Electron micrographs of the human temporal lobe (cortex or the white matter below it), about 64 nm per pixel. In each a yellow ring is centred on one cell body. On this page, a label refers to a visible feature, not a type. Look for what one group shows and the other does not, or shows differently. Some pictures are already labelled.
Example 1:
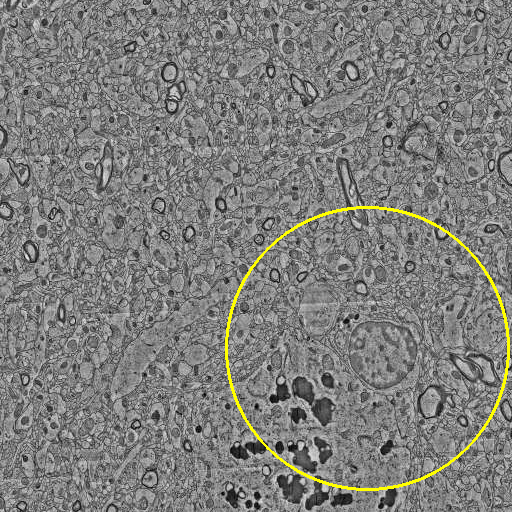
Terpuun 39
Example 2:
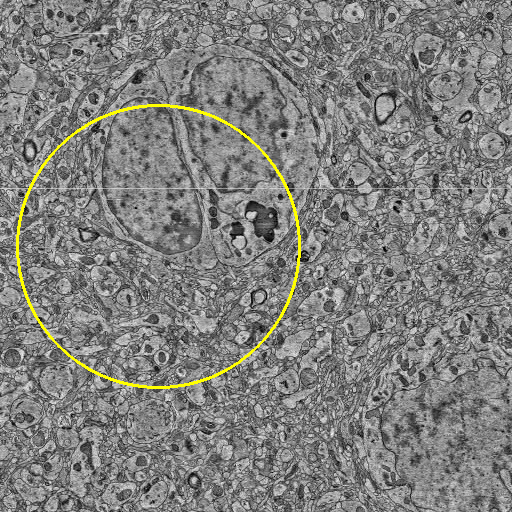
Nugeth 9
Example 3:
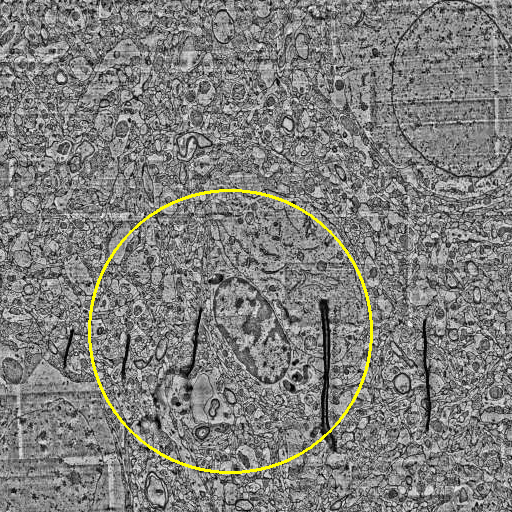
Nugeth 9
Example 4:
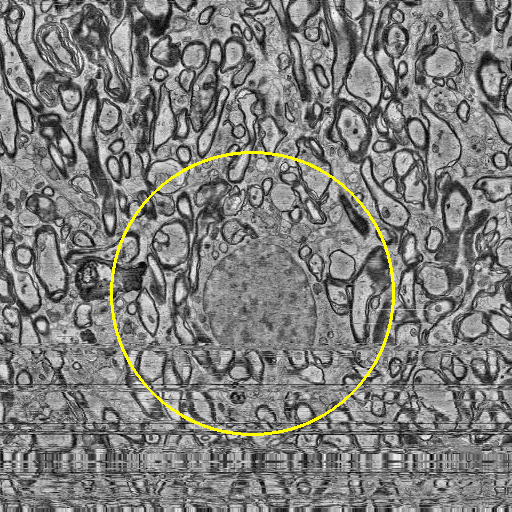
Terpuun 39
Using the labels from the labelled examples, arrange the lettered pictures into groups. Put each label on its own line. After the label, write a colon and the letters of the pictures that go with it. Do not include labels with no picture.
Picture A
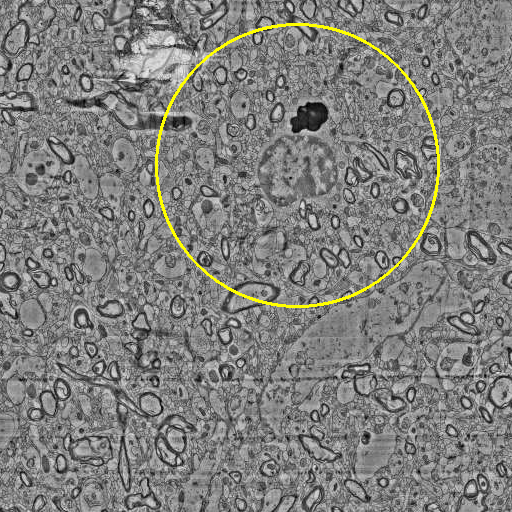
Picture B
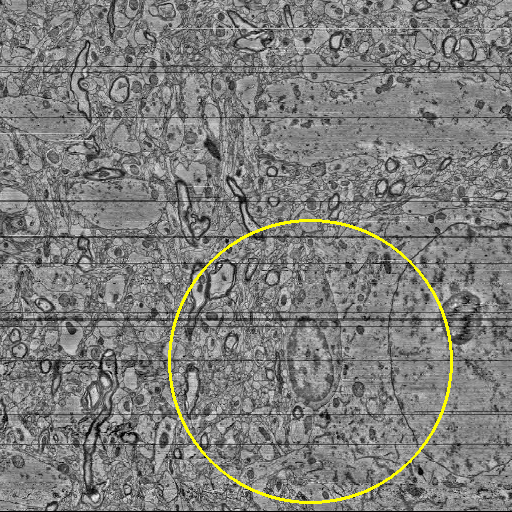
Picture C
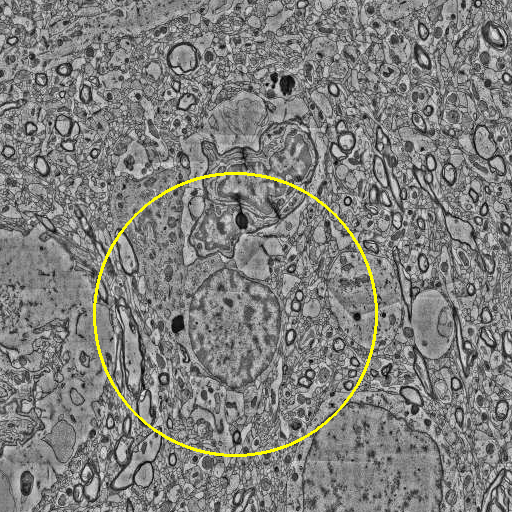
Terpuun 39: A, C
Nugeth 9: B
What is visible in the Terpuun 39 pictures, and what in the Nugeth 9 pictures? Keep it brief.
Terpuun 39: round or nearly round nuclei; Nugeth 9: clearly elongated nuclei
